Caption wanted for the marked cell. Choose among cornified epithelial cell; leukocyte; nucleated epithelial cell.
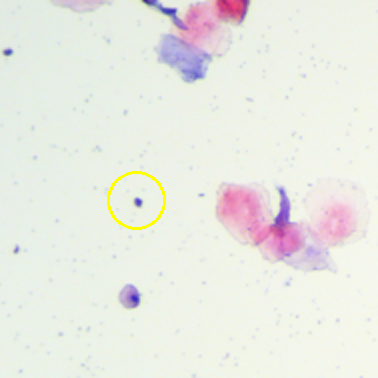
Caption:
Ringed in yellow is a leukocyte.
